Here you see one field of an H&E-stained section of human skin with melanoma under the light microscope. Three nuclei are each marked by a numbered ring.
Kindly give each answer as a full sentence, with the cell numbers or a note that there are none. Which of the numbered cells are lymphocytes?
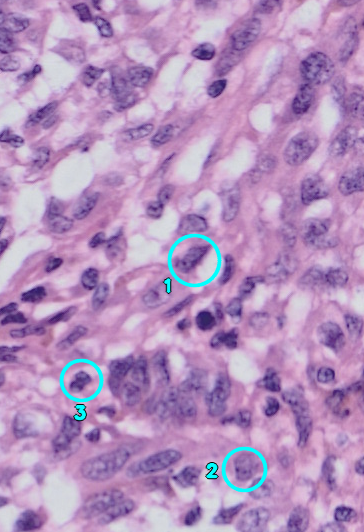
Cell number 3 alone is a lymphocyte; the rest are not.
